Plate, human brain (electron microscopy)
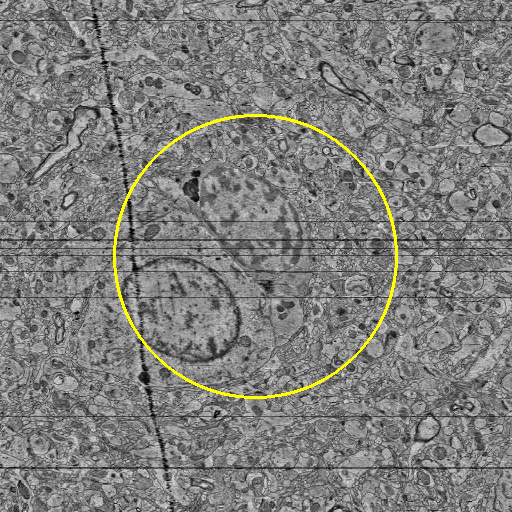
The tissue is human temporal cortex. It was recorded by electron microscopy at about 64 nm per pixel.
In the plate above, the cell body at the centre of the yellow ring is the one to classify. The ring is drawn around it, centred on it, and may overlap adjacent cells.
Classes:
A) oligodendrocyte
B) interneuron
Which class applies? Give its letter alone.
A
